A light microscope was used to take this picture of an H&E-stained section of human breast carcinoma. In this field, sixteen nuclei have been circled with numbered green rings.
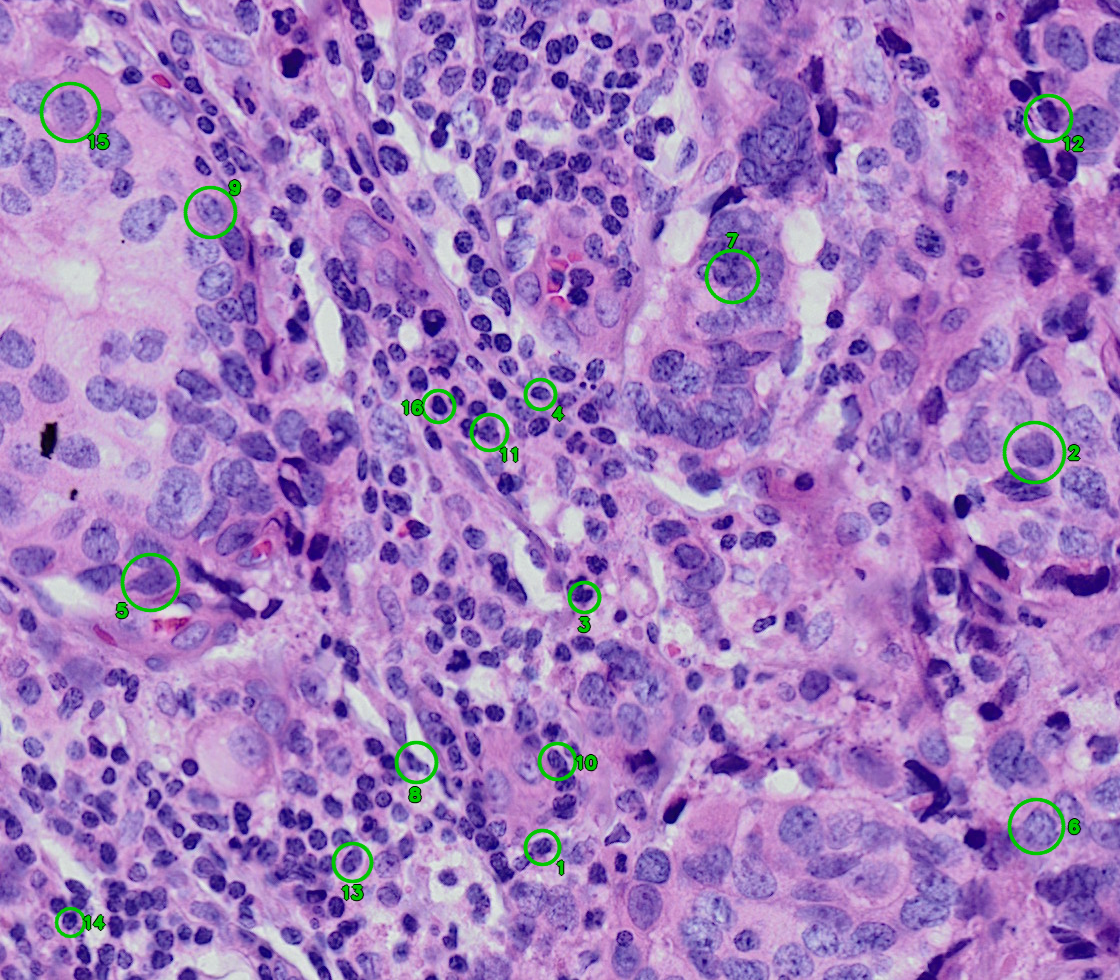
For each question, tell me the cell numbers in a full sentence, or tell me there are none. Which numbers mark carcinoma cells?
The cells with the number labels 2, 5, 6, 7, 9, 12 and 15 are carcinoma cells.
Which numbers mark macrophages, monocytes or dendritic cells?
No numbered nucleus belongs to one of the macrophages, monocytes or dendritic cells.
